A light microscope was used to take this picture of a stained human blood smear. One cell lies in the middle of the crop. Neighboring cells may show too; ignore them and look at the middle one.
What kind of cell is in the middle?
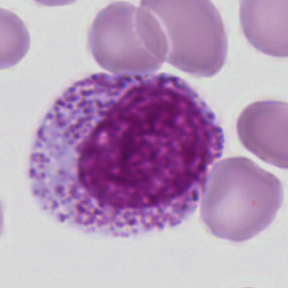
myelocyte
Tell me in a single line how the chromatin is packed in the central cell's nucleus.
The chromatin pattern here is coarse and clumped.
